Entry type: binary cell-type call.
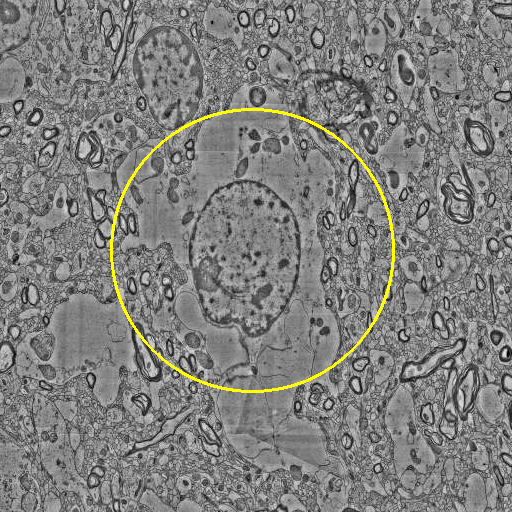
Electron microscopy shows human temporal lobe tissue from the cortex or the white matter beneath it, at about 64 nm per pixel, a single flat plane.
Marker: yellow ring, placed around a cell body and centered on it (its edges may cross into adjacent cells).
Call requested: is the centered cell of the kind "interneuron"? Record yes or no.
no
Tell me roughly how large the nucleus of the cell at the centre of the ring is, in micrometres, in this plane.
The nucleus of the ringed cell is approximately 10 by 7 micrometres in this plane.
